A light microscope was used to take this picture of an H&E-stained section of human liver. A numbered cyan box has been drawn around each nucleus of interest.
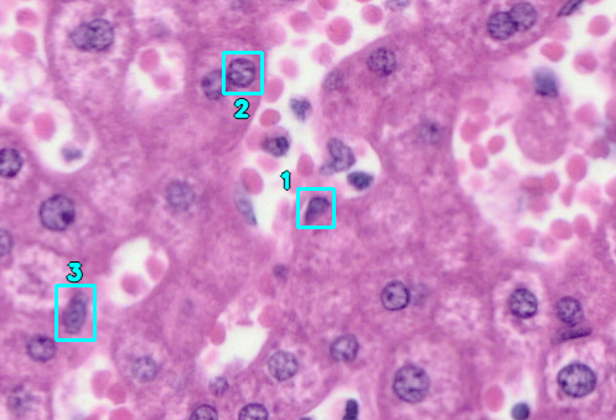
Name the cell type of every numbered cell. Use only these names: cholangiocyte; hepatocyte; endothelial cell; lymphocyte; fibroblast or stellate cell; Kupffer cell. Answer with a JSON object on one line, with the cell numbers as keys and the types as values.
{"1": "fibroblast or stellate cell", "2": "hepatocyte", "3": "fibroblast or stellate cell"}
